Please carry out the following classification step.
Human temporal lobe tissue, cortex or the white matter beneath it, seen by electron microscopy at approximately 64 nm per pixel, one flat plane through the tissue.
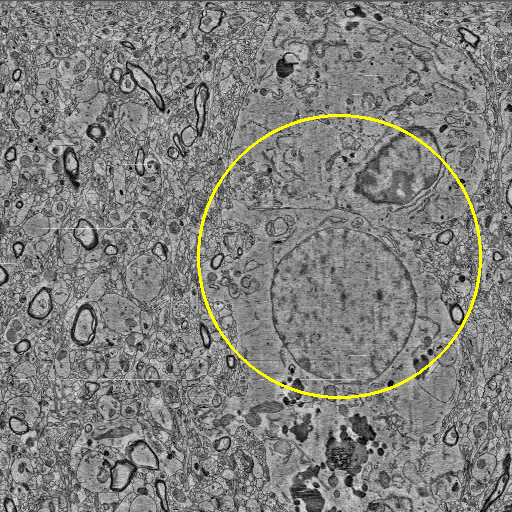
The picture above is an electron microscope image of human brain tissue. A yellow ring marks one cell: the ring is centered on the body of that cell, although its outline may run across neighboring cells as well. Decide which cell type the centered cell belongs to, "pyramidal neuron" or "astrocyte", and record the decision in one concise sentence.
The cell centered in the yellow ring is an astrocyte.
